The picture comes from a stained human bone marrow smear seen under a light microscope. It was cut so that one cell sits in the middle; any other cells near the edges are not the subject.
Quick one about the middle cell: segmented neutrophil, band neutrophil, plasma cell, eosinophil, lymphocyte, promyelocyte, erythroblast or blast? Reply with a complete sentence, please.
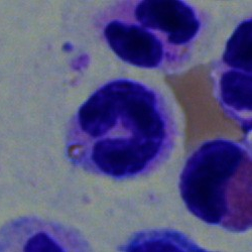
In this smear crop, the middle cell is a band neutrophil.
